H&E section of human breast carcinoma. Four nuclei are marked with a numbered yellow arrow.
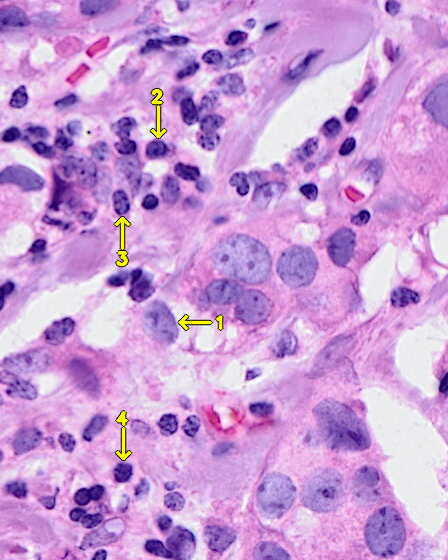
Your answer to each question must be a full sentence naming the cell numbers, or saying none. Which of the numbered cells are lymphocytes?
The numbers 2, 3 and 4 refer to cells that are lymphocytes.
